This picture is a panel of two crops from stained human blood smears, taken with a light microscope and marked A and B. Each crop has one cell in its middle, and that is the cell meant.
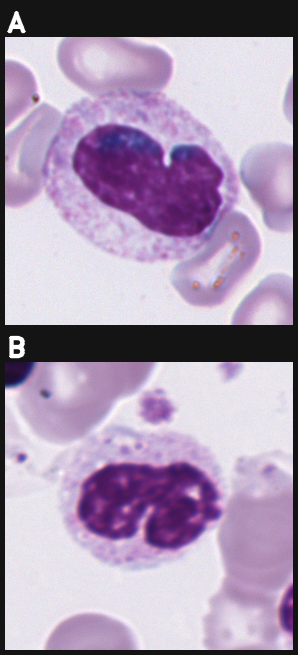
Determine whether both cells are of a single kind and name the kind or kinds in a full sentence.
Yes, in the middle of both crops, band neutrophils are shown.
